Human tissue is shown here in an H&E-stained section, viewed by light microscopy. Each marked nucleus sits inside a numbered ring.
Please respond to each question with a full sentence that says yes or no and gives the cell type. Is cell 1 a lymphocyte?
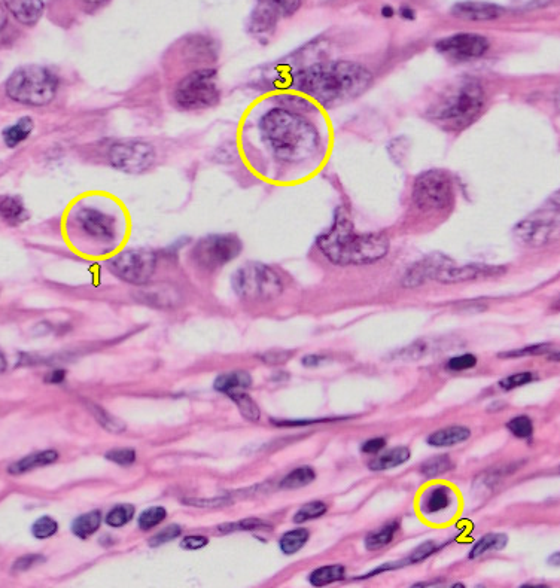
No, cell 1 isn't a lymphocyte; it's a melanoma cell.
